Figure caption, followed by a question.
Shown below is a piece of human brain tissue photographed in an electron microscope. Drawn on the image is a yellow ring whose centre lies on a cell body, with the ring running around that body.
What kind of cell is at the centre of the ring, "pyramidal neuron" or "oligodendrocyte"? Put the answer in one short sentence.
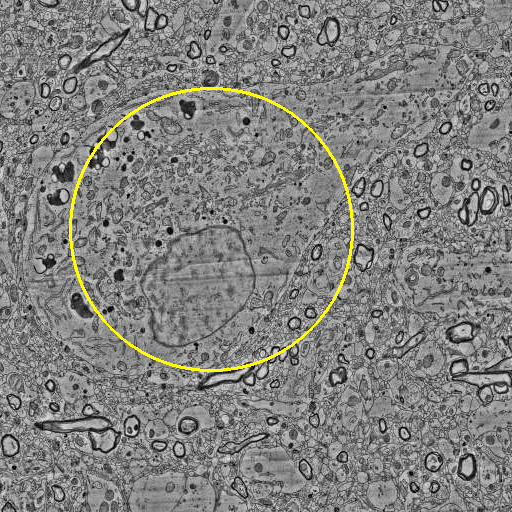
The ring marks the cell body of a pyramidal neuron.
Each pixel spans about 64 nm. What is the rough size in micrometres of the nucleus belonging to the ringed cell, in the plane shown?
In this plane the nucleus measures roughly 9 by 6 micrometres.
